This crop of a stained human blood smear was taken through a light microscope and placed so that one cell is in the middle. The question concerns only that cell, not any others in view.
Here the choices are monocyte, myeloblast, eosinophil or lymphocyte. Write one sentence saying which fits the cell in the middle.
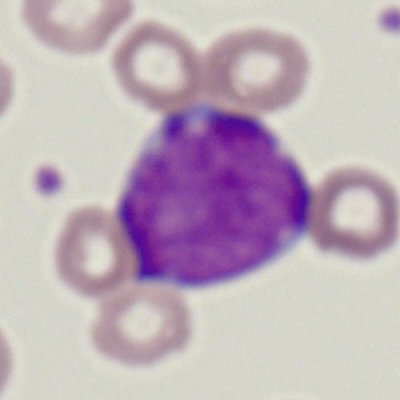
The cell positioned in the middle of the field is a myeloblast.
